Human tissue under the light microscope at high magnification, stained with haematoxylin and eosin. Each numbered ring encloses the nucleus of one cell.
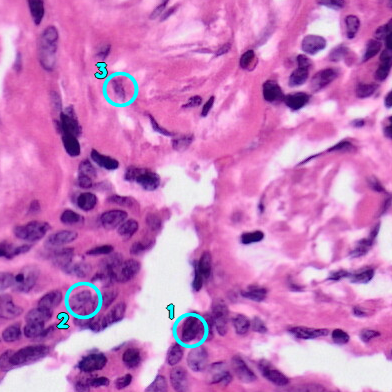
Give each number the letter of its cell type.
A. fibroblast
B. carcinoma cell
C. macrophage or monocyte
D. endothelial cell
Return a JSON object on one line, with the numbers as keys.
{"1": "B", "2": "C", "3": "A"}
